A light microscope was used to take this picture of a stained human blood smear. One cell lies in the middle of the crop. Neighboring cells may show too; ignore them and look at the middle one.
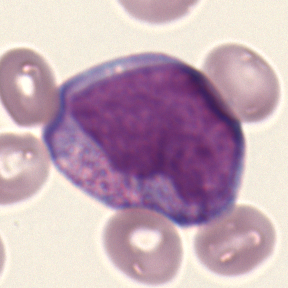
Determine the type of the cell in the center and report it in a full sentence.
The target cell in the middle of the crop is an atypical promyelocyte.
